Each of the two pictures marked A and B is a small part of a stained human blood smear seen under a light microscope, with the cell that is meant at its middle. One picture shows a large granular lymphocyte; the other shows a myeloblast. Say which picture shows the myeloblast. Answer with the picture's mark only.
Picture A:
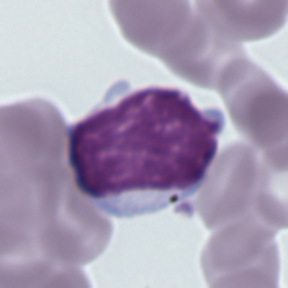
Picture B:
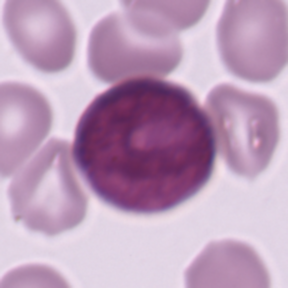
B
